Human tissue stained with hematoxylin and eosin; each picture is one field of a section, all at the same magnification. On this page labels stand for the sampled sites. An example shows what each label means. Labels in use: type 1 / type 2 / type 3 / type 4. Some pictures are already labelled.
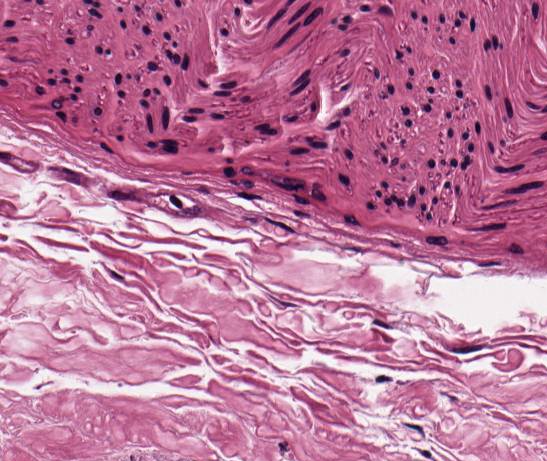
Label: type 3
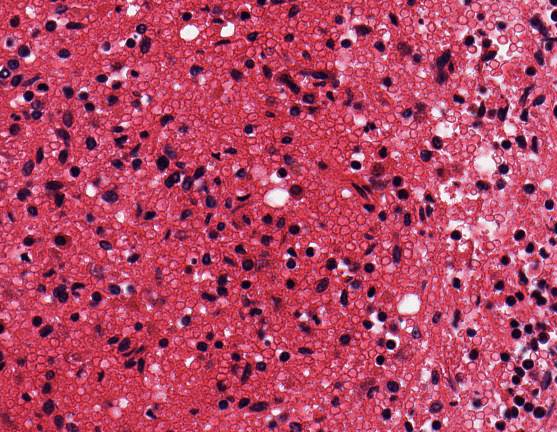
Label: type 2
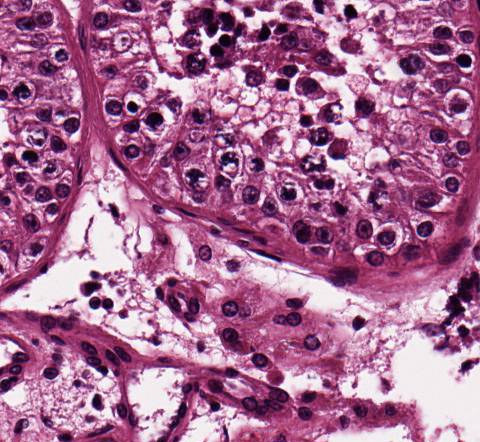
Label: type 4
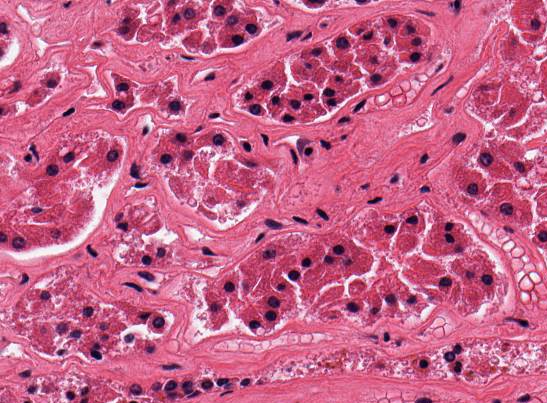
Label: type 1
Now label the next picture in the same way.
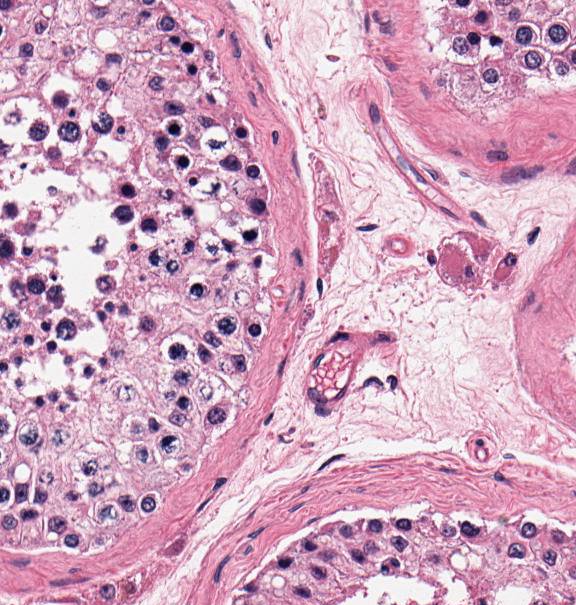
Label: type 4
